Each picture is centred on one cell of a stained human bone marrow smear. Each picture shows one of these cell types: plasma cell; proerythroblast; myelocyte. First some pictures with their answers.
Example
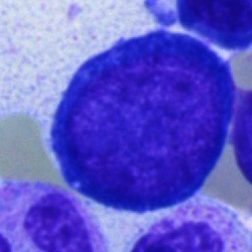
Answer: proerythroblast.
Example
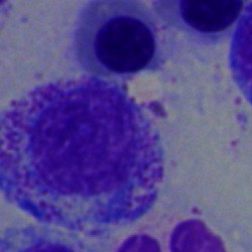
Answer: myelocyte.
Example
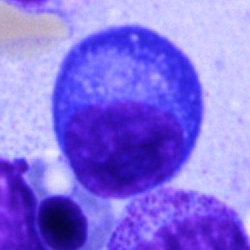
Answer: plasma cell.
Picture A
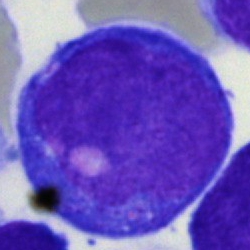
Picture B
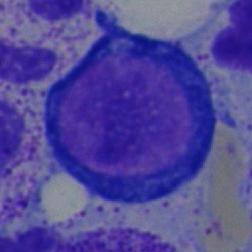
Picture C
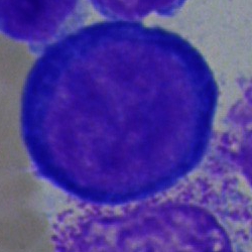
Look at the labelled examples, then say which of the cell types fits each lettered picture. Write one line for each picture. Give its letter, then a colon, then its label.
A: proerythroblast.
B: proerythroblast.
C: proerythroblast.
